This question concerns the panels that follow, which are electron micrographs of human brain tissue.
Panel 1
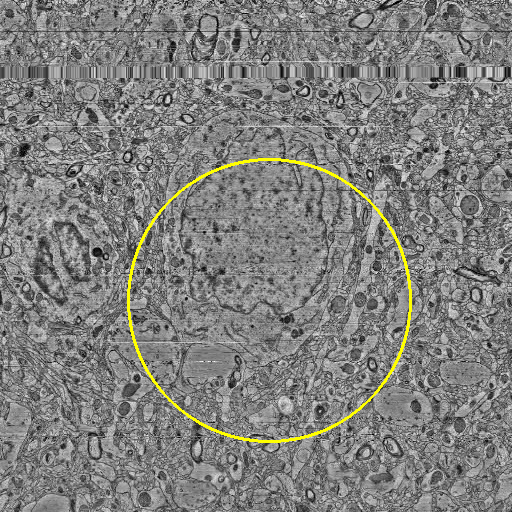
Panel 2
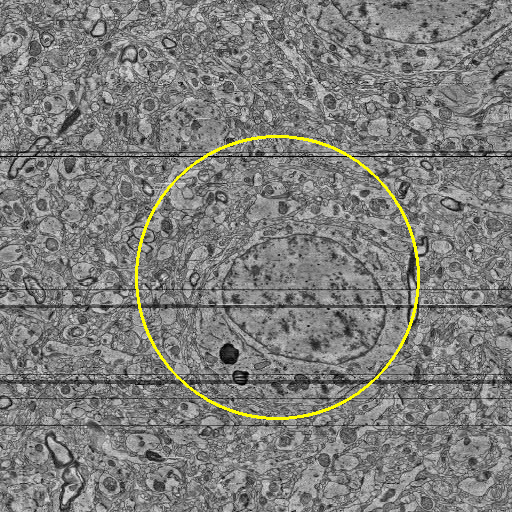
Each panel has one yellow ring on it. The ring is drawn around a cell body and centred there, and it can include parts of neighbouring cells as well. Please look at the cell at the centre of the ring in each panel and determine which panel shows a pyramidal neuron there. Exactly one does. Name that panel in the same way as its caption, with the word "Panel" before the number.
Panel 2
